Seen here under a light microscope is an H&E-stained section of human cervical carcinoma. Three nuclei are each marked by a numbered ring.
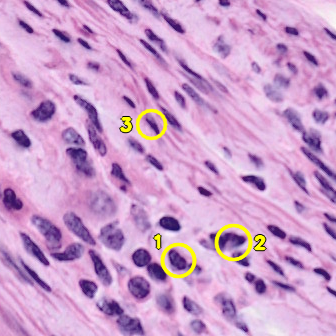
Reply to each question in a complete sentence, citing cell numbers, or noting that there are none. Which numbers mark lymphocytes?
The cells tagged with numbers 1 and 2 are lymphocytes.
